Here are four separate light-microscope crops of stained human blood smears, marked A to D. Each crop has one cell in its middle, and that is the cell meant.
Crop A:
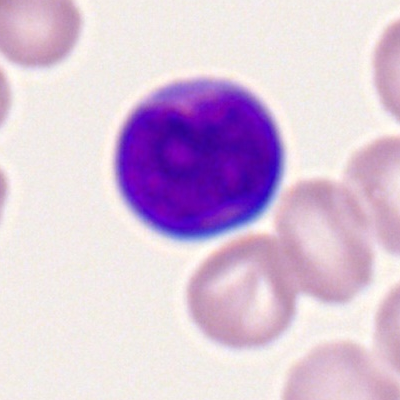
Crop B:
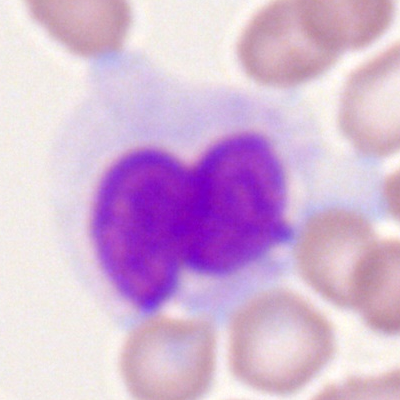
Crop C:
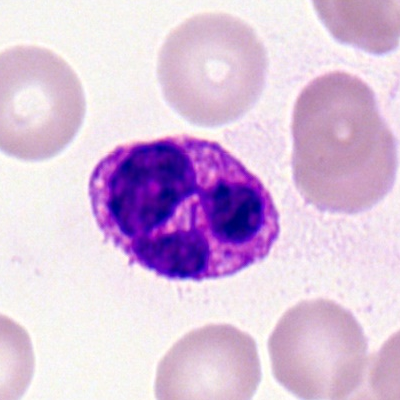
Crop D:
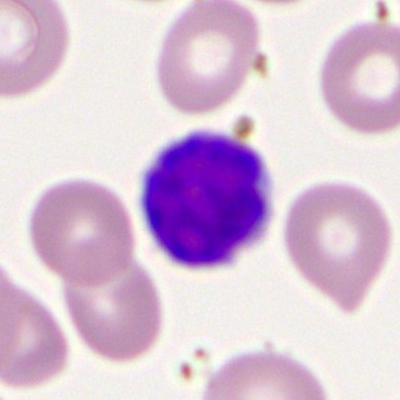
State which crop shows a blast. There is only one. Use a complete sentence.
Crop A is the one that shows a blast.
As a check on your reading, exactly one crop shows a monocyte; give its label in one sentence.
In the set of crops, crop B is the one that contains a monocyte.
